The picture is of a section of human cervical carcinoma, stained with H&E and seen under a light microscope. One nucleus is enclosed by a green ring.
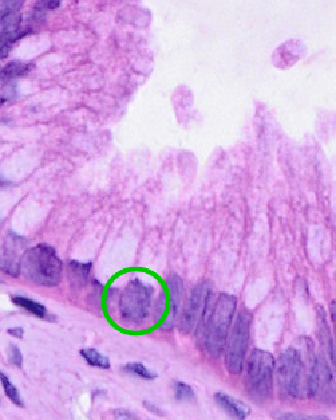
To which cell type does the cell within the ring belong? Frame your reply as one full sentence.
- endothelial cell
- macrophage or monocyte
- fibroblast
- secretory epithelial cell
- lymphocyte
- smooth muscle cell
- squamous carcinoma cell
As to its cell type, the cell within the ring is a secretory epithelial cell.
